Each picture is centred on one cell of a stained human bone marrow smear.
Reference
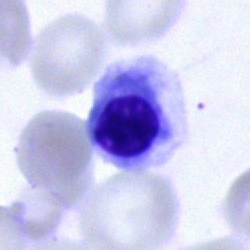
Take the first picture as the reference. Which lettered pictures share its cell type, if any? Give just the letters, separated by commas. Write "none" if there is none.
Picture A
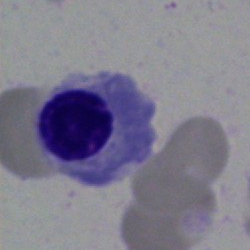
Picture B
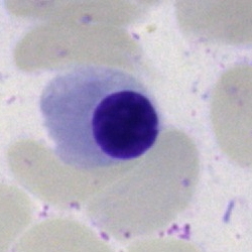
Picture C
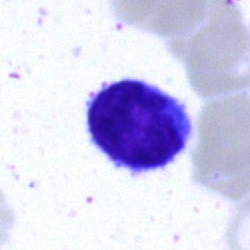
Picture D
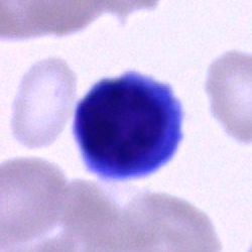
A, B, D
